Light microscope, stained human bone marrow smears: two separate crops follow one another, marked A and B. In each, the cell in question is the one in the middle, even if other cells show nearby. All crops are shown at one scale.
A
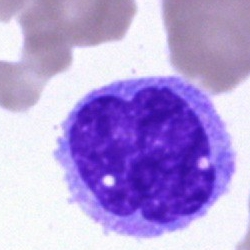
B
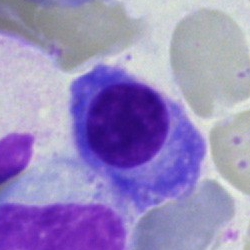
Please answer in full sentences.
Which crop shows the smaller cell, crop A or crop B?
Crop B holds the smaller cell, since the cell in crop A covers about 1.5 times as much area.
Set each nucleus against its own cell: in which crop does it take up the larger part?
Of the two, the nucleus in crop A makes up the greater part of its cell.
